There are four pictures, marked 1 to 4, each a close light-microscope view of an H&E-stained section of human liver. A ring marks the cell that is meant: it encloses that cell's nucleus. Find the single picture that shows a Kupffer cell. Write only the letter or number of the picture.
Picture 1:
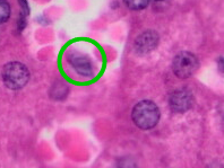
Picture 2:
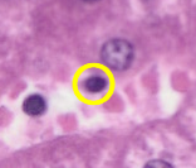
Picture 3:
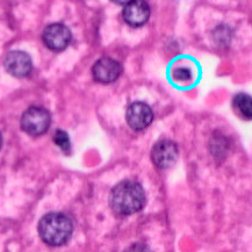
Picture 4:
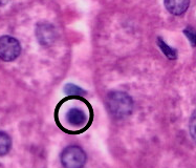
1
